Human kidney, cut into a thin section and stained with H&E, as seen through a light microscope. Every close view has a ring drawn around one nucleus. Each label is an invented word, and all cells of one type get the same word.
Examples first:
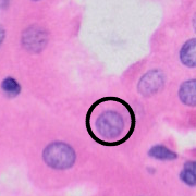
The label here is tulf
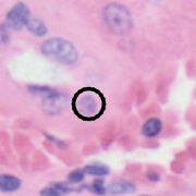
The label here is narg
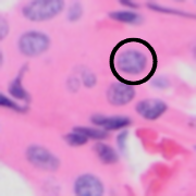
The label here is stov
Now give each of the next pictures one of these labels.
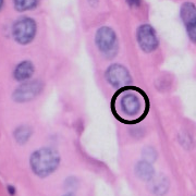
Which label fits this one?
narg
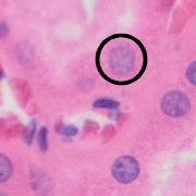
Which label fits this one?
tulf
